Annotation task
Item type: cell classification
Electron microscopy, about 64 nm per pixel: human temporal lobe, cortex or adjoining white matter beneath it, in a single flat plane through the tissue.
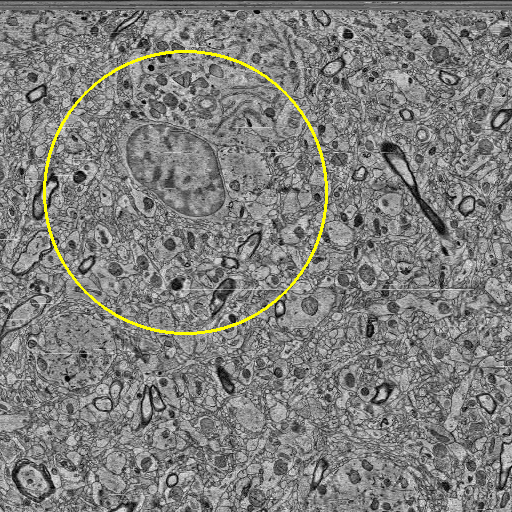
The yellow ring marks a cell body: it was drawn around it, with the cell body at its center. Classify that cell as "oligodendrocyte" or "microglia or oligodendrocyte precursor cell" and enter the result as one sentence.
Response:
The ring's center falls on an oligodendrocyte.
